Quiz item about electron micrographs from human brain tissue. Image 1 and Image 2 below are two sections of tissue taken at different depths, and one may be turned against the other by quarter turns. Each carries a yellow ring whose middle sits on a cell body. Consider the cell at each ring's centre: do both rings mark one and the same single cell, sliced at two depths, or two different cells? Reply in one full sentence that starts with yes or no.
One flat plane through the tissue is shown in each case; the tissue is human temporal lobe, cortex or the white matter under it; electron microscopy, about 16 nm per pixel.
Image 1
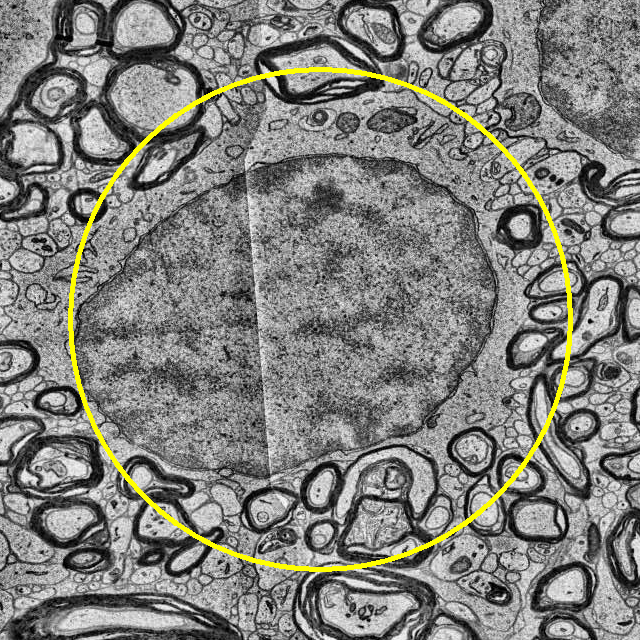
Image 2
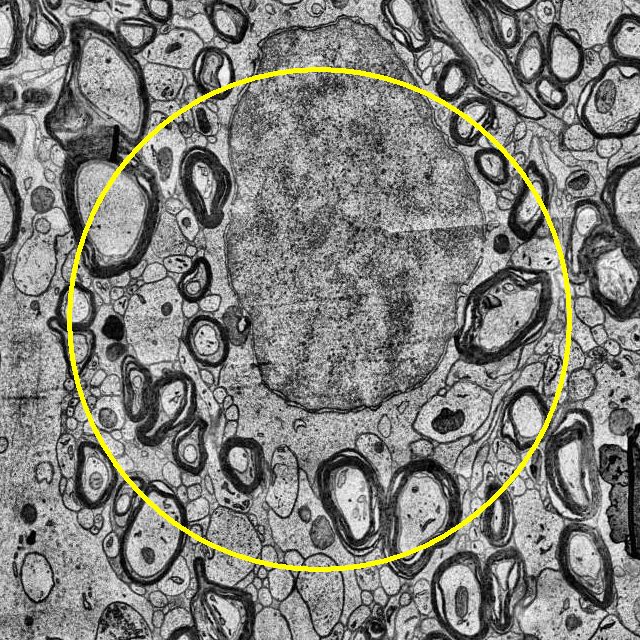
No, within the two rings lie two different cells.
